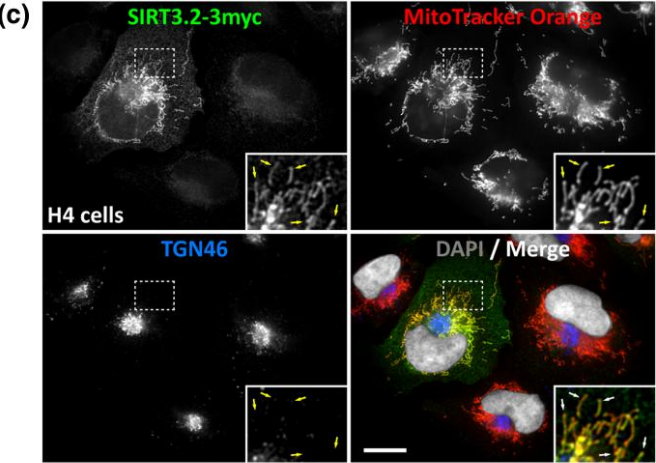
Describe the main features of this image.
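Cultured cells in monolayer, one of them labelled green, with oval grey nuclei. In the labelled cell the green label lies in many thin tubular, branching threads gathered around the nucleus and running out into the cytoplasm. The red label shows similar threadlike mitochondria in all cells, unlabelled neighbours included. In the merge the green and red threads coincide and appear yellow. A compact blue patch sits next to each nucleus, apart from the threads.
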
